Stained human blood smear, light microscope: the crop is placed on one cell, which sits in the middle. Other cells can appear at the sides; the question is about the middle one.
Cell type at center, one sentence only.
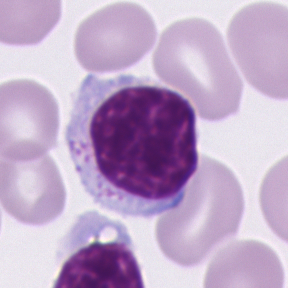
The middle of this crop holds a large granular lymphocyte.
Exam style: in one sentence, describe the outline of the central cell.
The cell shows an uneven border, formed by ragged areas or by outward projections.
